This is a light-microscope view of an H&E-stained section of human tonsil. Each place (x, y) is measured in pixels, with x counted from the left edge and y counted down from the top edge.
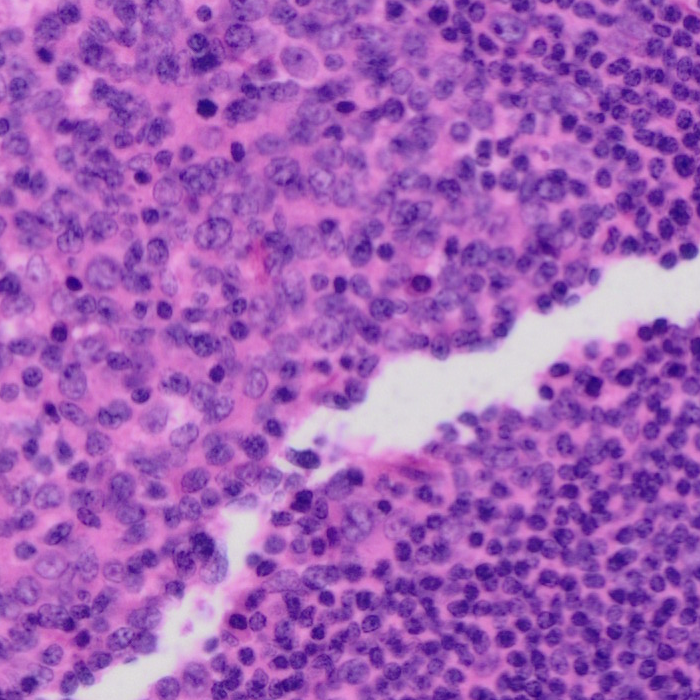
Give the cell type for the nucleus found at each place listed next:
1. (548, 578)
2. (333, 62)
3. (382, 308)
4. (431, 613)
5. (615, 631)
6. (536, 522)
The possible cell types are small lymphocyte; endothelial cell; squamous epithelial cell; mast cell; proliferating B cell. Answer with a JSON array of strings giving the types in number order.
["small lymphocyte", "proliferating B cell", "proliferating B cell", "small lymphocyte", "small lymphocyte", "small lymphocyte"]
